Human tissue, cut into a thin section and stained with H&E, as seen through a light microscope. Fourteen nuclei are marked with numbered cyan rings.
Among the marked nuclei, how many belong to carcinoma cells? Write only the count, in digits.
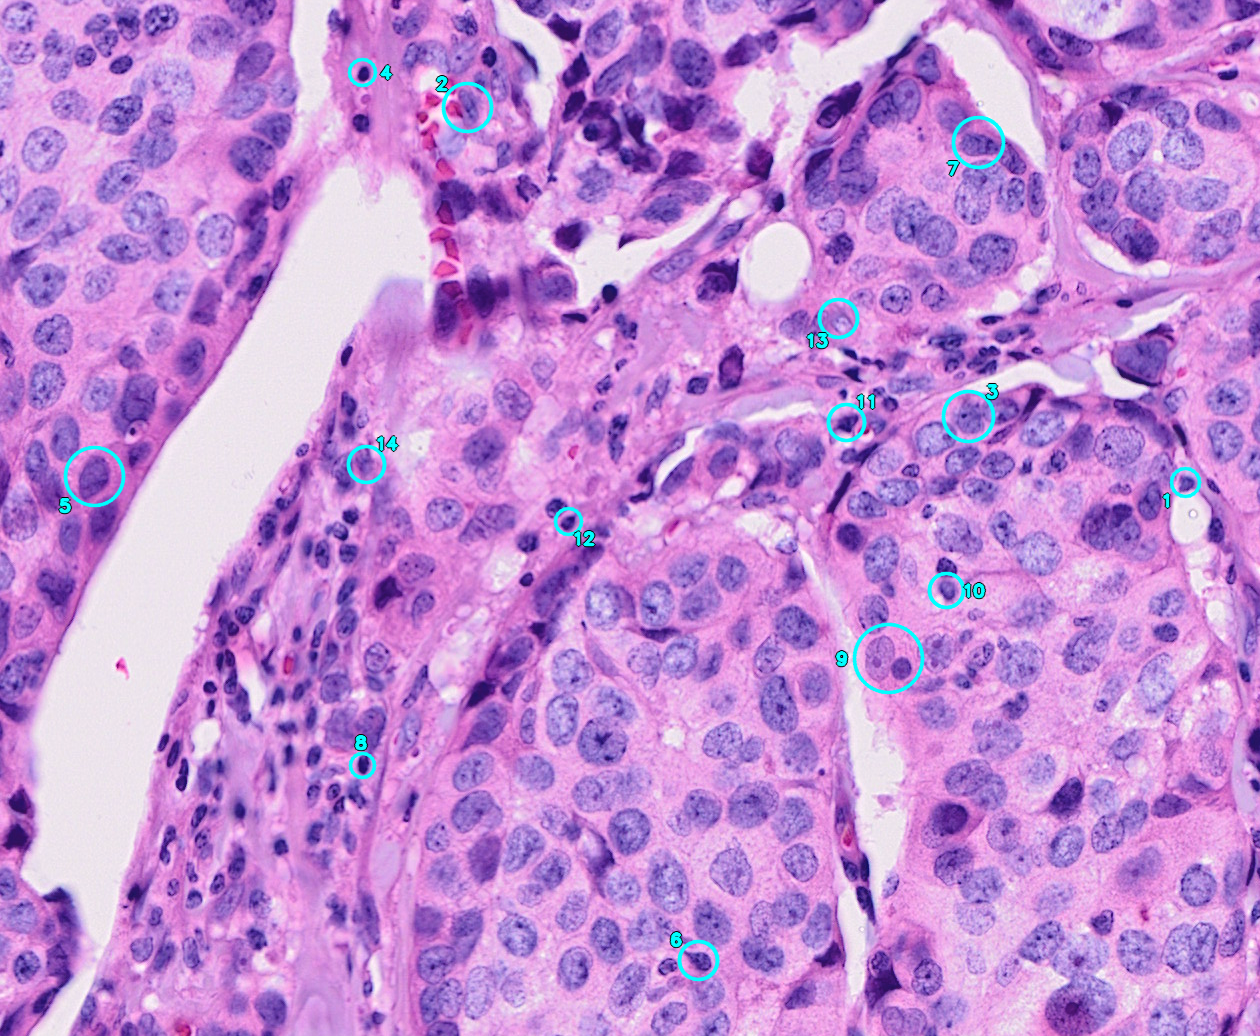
4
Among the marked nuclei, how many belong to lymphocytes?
7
